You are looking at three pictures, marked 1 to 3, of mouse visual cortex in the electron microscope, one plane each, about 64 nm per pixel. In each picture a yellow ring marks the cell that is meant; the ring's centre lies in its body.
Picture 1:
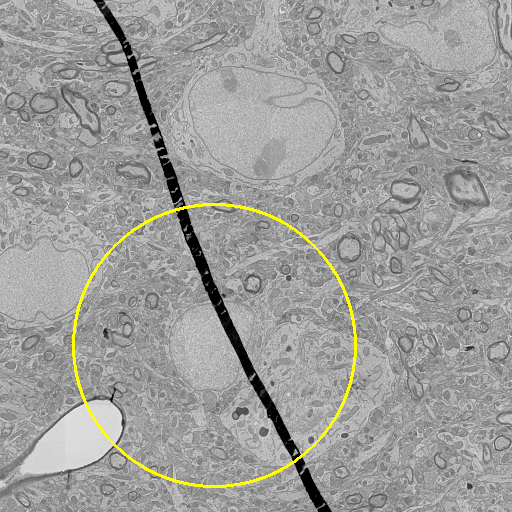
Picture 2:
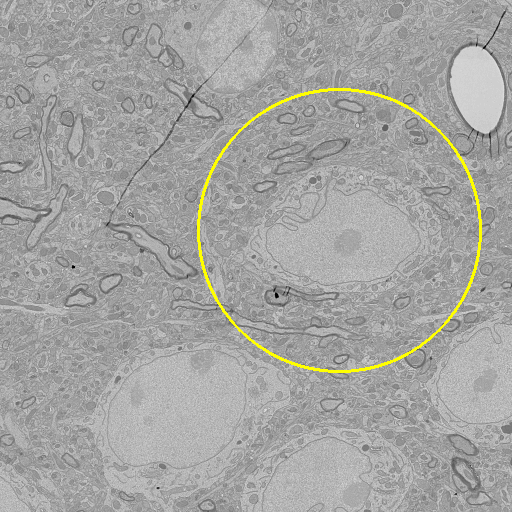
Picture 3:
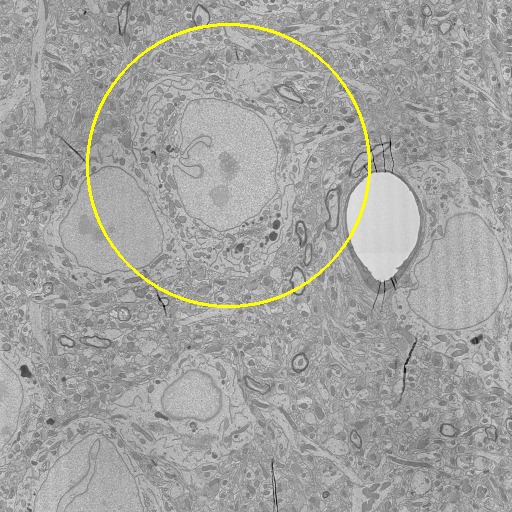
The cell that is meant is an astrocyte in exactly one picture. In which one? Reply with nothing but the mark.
1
